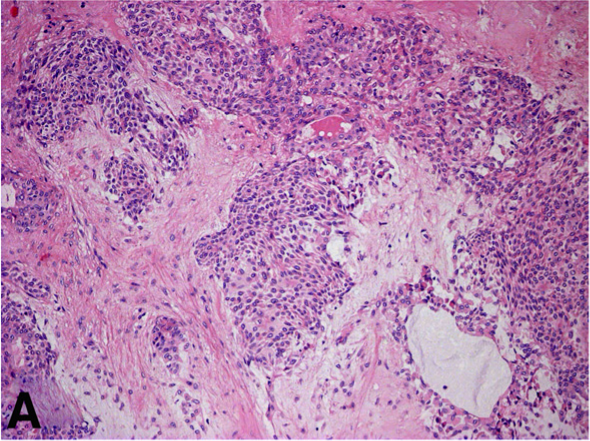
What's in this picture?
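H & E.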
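This is a pleiomorphic adenoma, made up of nests and sheets of small, fairly uniform tumor cells with oval to spindled nuclei. The nests are separated by loose, pale pink fibrous and myxoid stroma. Some cells at the edges of the nests thin out and appear to blend into the stroma. A small pool of pale bluish-grey material lies at the lower right.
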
